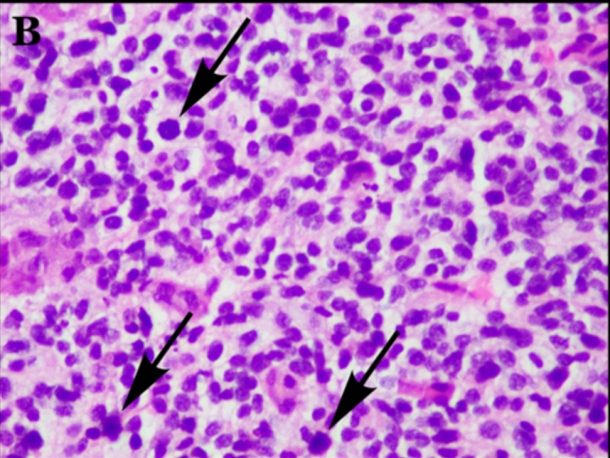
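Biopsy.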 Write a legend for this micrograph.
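The nuclei vary in size and shape, some round, others oval or irregular, showing marked pleomorphism. Thin pink strands run through the sheet of cells.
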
